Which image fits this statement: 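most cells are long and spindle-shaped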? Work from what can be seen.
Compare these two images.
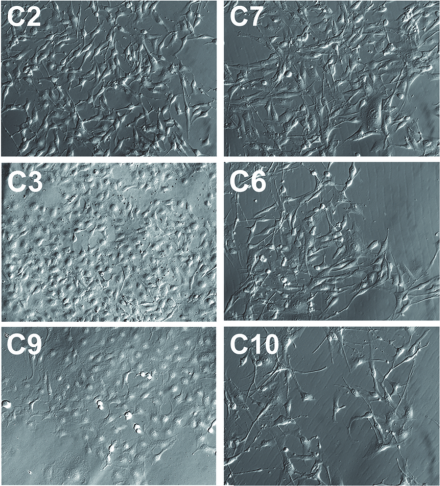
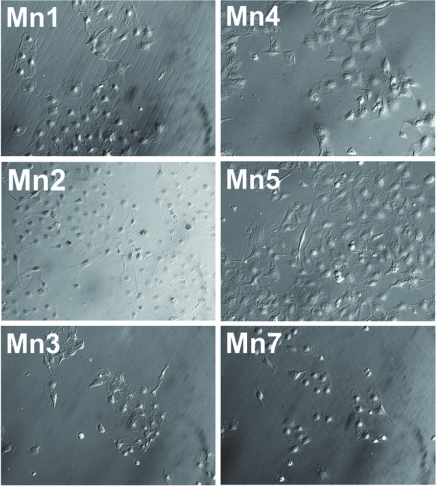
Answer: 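The first image. Second image: cells are short, polygonal or rounded, in sparse small groups. First image: in most fields cells are elongated, bipolar, with long thin processes.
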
